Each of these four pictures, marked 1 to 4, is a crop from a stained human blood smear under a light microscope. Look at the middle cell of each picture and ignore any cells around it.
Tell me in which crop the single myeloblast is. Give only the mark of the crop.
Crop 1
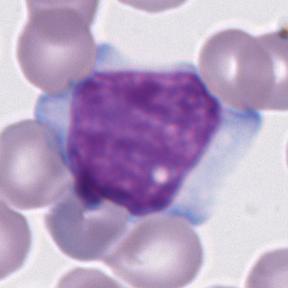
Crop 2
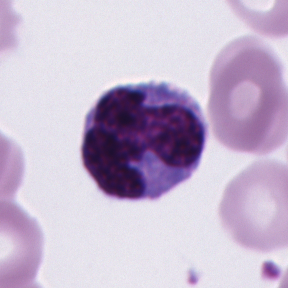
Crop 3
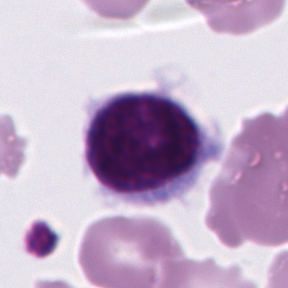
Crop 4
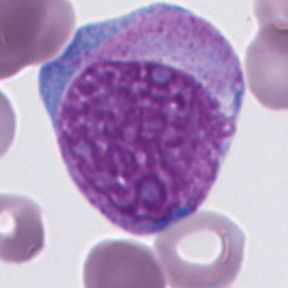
1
